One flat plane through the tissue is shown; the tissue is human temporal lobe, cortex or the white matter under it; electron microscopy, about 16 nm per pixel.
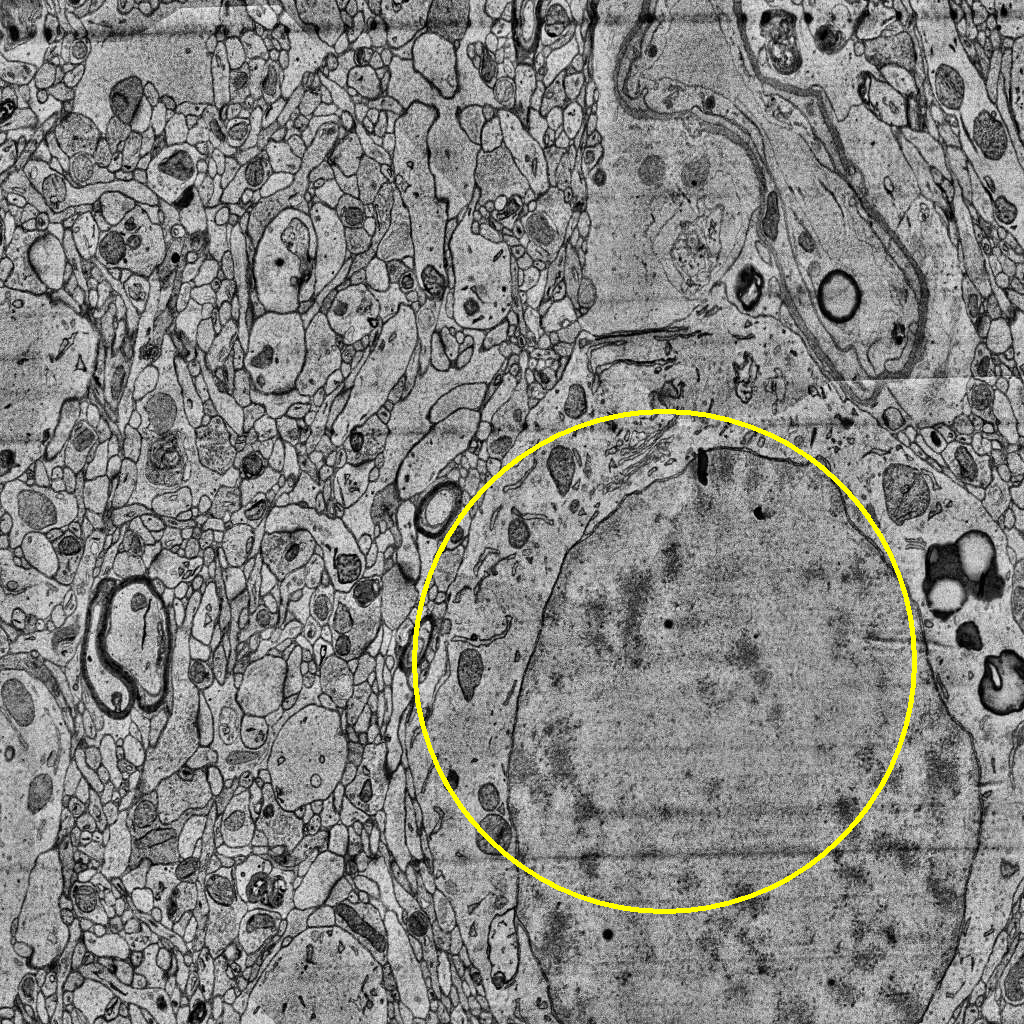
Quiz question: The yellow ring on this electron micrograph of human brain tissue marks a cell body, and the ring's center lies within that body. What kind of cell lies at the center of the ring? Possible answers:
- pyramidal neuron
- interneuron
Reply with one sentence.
The ring's center lies on a pyramidal neuron.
